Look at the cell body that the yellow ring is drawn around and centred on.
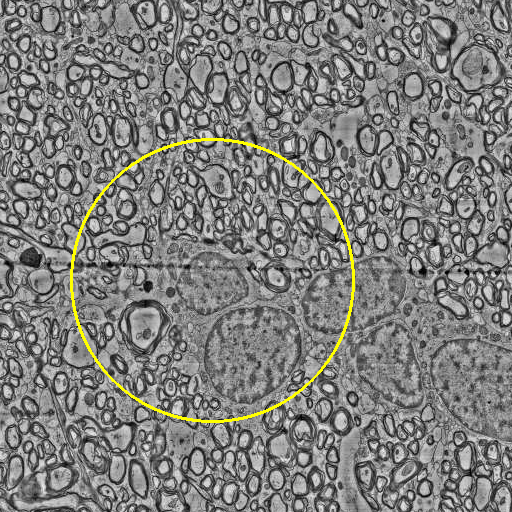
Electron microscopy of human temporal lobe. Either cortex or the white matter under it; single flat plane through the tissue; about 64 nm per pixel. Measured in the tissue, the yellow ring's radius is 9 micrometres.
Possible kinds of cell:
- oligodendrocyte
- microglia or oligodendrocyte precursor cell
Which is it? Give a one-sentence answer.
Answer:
The centred cell body is that of an oligodendrocyte.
